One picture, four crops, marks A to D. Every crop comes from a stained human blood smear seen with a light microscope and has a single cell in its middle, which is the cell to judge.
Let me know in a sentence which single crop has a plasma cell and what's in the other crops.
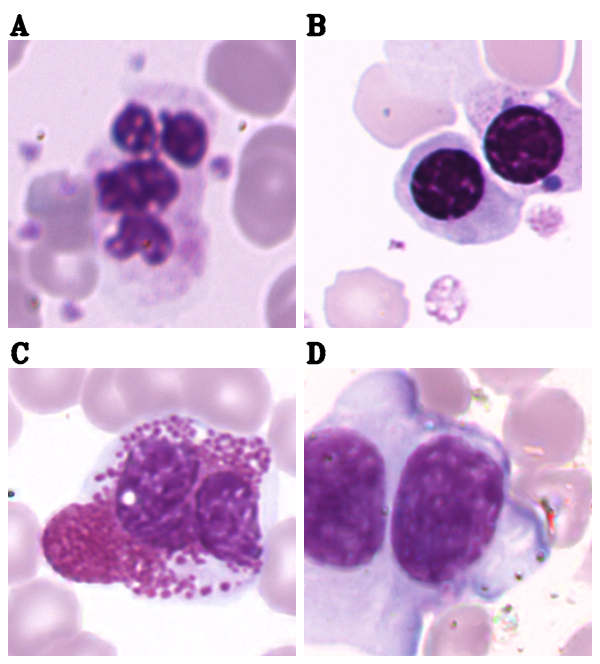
In the series, crop D depicts a plasma cell, while crop A is a neutrophil, crop B is an erythroblast and crop C is an eosinophil.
